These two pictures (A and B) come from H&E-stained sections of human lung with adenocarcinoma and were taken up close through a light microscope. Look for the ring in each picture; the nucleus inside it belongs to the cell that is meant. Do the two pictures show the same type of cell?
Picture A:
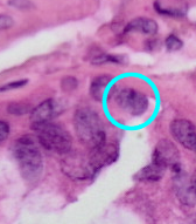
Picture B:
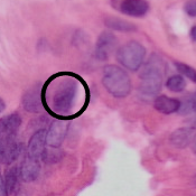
yes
